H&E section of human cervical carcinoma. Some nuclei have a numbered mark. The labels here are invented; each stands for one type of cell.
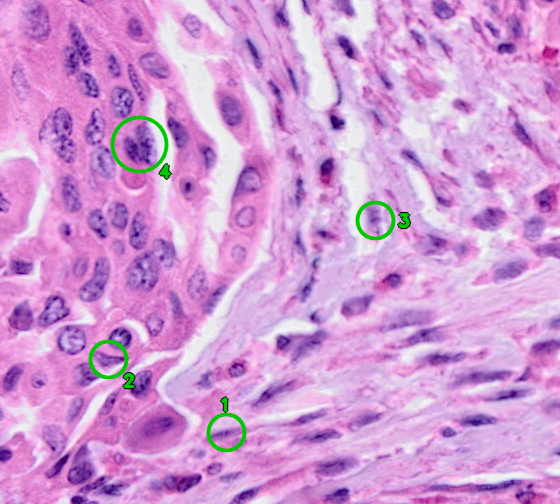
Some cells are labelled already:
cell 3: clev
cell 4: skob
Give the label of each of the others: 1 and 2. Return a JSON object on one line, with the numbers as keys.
{"1": "clev", "2": "skob"}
